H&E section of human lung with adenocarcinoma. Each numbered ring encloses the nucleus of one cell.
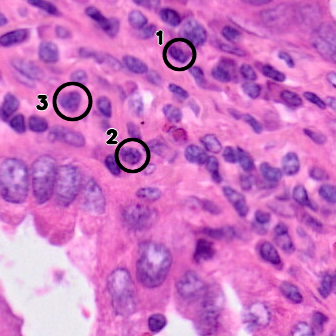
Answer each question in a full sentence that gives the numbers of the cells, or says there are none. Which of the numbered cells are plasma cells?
Among the numbered cells, a plasma cell occurs only once, as cell 1.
